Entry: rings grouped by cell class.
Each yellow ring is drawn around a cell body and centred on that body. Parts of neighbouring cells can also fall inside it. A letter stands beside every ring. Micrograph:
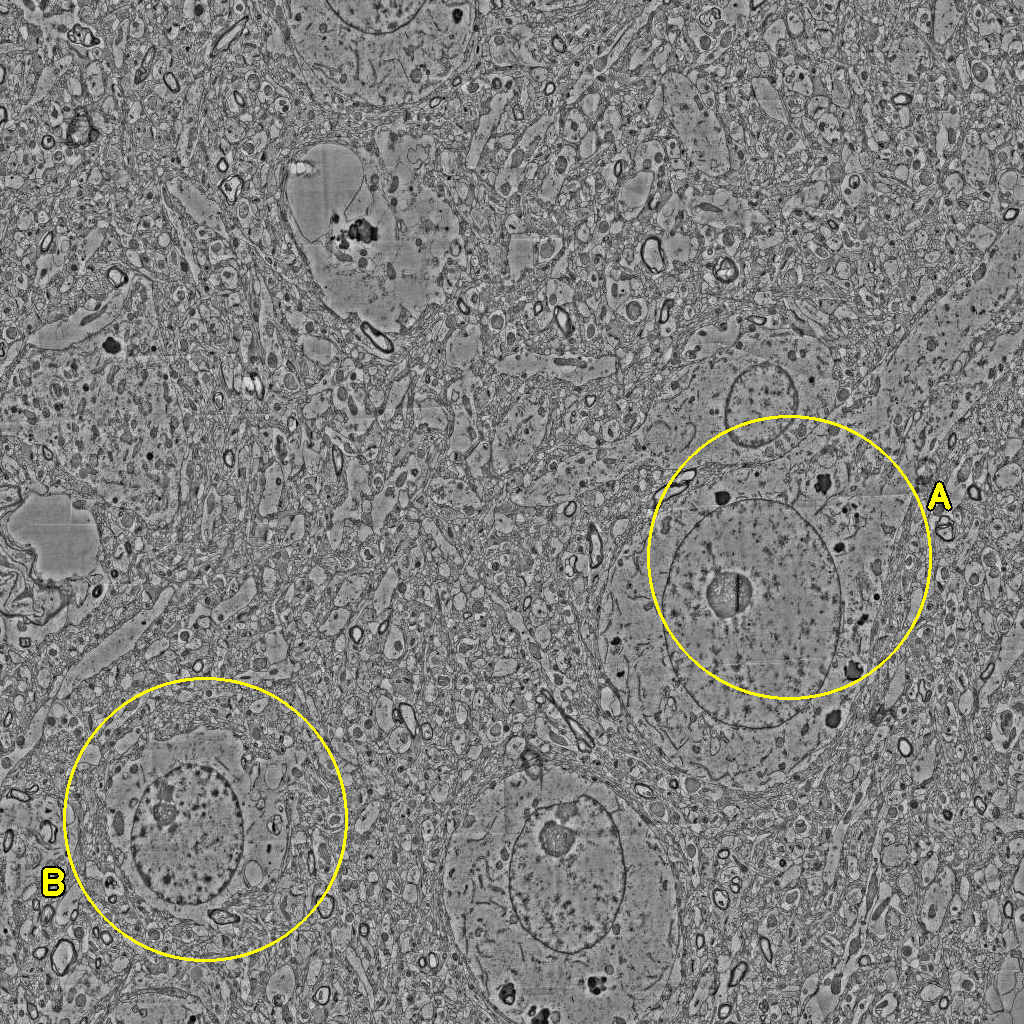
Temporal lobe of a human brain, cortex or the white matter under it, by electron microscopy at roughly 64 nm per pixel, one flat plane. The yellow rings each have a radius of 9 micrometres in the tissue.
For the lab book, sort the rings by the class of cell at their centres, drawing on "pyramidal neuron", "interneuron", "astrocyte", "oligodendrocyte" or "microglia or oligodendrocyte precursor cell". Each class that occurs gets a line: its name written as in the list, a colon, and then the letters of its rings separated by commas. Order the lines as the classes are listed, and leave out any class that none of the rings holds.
pyramidal neuron: A
astrocyte: B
